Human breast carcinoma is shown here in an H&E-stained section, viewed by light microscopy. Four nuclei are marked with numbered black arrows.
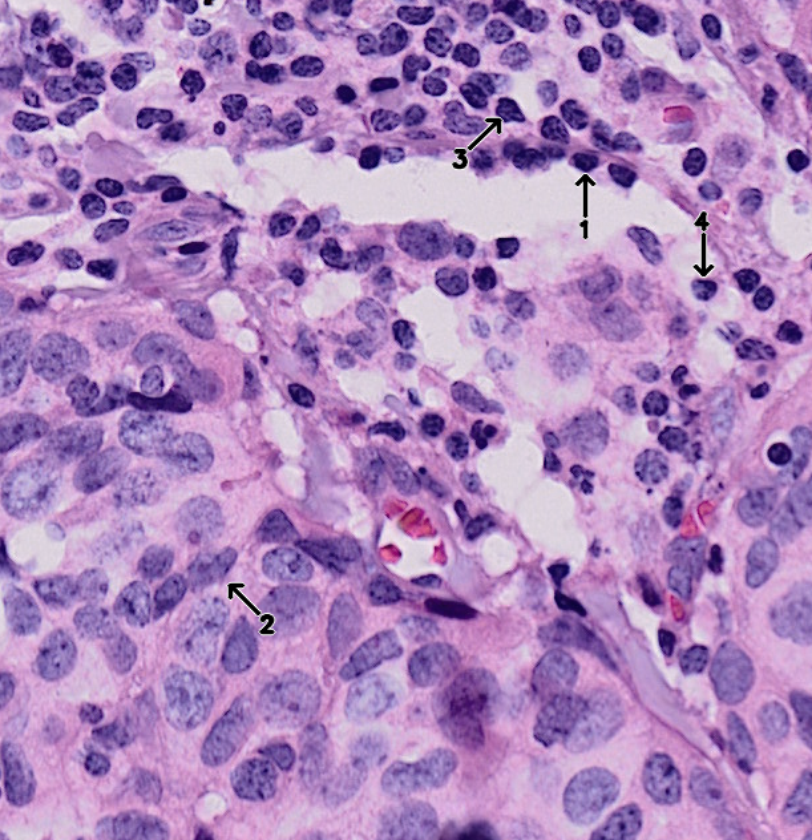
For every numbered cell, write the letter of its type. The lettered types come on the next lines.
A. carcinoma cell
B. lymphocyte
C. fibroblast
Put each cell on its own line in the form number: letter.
1: B
2: A
3: B
4: B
